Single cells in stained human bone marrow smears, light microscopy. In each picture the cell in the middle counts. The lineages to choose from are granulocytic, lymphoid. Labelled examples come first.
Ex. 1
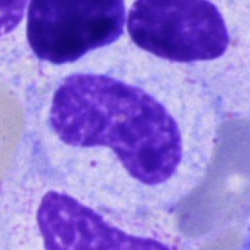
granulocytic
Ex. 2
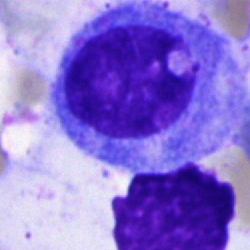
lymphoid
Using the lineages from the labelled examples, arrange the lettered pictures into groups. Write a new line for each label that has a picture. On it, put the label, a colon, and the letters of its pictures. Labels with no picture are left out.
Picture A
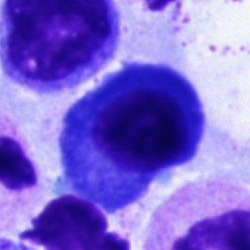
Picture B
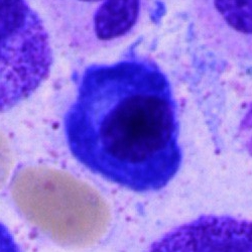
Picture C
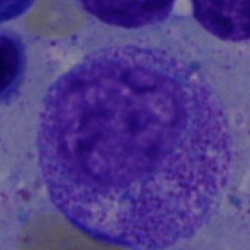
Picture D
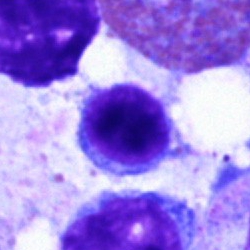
granulocytic: C
lymphoid: A, B, D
